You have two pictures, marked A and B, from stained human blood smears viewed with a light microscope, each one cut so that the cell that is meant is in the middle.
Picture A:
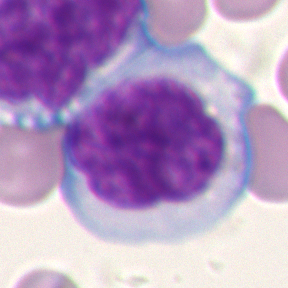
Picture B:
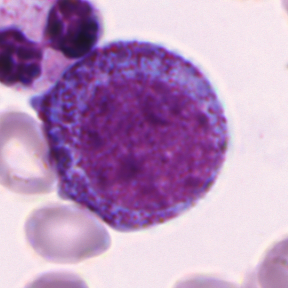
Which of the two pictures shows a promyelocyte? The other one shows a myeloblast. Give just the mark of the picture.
B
